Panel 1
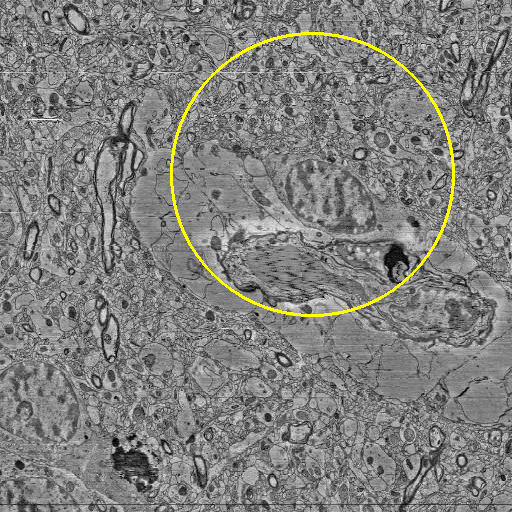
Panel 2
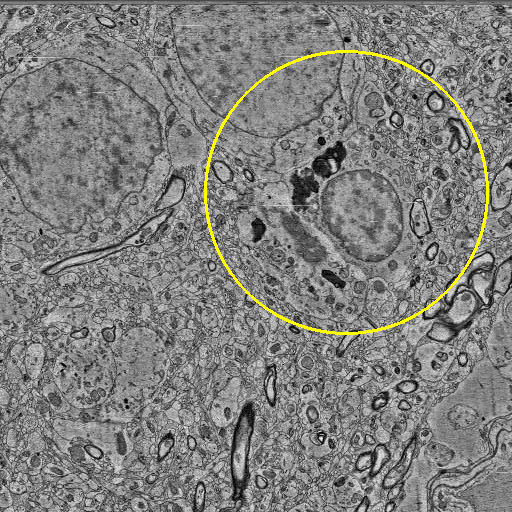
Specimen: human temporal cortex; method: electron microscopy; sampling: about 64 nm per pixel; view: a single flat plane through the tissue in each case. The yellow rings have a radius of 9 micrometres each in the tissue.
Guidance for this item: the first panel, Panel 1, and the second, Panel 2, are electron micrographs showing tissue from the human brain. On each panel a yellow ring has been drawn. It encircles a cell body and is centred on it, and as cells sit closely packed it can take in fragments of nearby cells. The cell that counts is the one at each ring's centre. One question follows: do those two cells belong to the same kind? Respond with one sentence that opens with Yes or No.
Yes, the cells at the ring centres in Panel 1 and Panel 2 are of one kind.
